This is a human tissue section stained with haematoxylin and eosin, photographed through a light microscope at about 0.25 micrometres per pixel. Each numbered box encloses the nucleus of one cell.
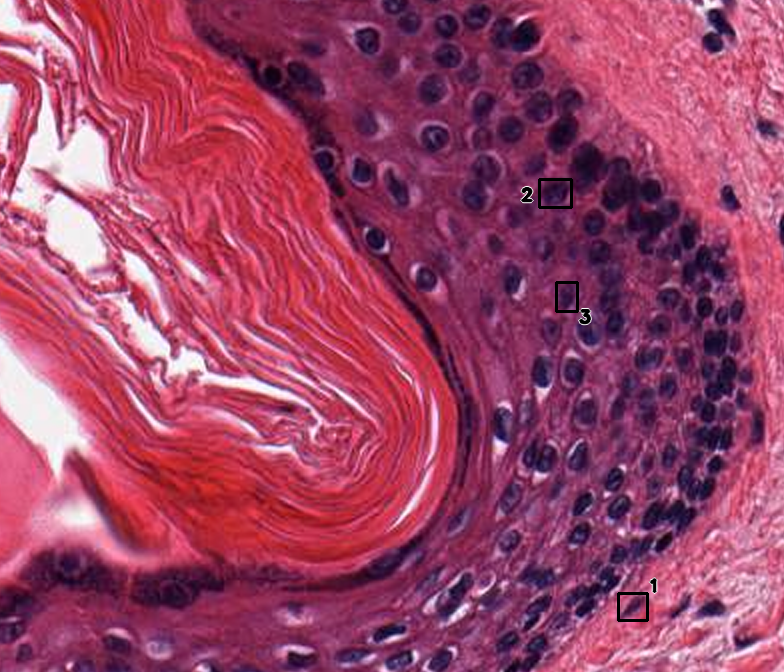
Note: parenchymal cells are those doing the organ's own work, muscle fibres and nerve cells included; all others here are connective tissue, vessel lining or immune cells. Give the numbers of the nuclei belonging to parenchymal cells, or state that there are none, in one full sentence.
In the section shown, nuclei 2 and 3 belong to parenchymal cells.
